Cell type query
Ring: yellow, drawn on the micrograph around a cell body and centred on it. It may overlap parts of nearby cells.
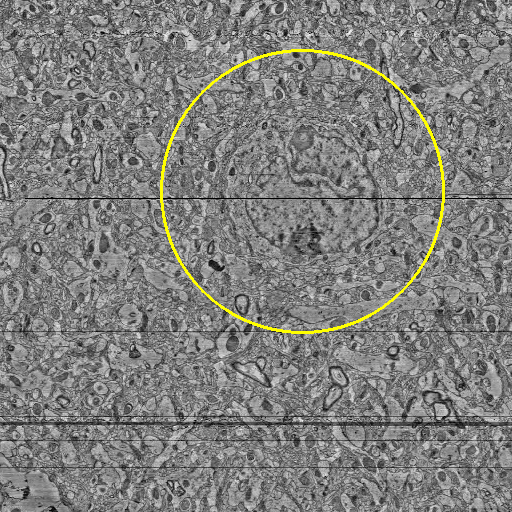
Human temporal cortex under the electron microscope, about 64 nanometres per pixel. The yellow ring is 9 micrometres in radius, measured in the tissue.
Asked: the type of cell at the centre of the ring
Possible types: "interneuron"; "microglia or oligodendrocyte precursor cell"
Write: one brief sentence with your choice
The ring marks an interneuron.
